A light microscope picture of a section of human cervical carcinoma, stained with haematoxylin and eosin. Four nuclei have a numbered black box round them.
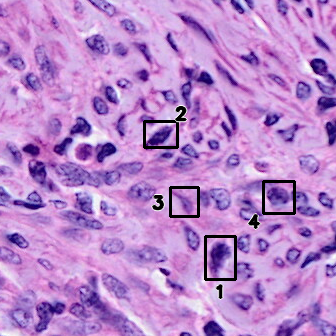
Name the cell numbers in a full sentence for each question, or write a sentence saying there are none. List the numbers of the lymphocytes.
Cells 1, 2 and 4 share one type; they are lymphocytes.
